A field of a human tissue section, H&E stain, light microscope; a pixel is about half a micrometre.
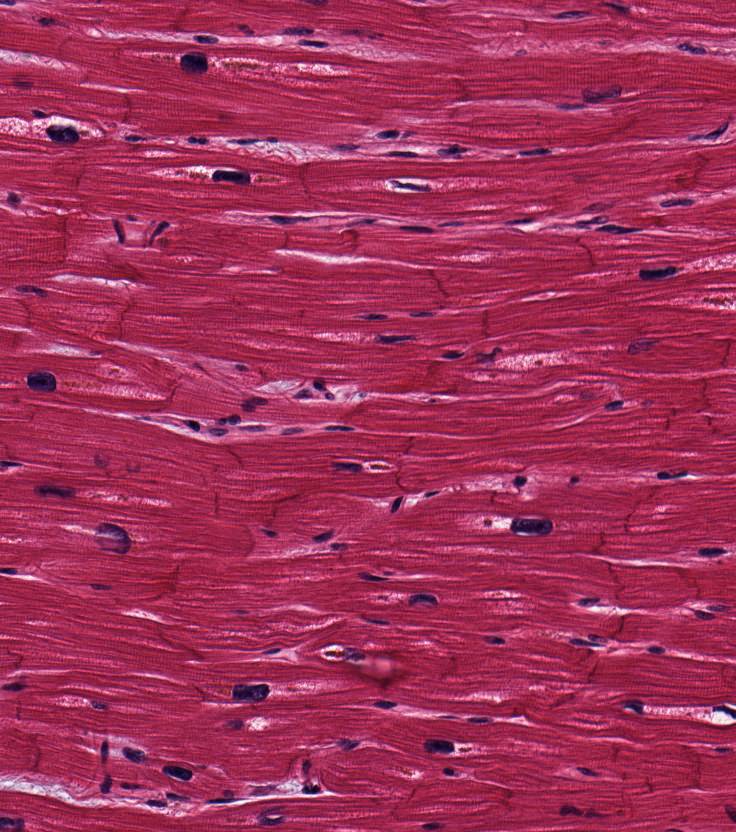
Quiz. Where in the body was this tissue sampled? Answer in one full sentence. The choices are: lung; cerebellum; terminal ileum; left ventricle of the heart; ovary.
The site sampled for this tissue was the left ventricle of the heart.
